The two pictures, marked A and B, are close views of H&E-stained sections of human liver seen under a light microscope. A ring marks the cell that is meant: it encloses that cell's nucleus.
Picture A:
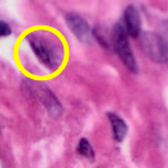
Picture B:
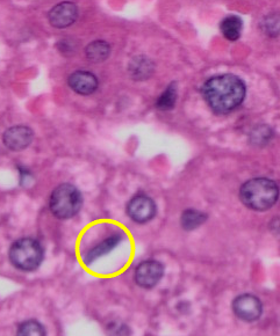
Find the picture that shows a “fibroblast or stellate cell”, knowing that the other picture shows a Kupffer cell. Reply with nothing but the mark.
A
